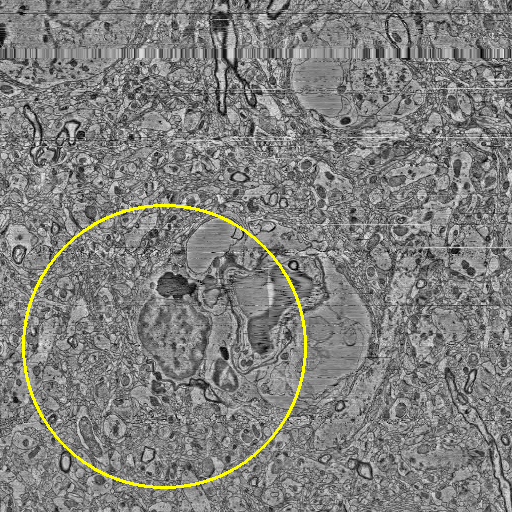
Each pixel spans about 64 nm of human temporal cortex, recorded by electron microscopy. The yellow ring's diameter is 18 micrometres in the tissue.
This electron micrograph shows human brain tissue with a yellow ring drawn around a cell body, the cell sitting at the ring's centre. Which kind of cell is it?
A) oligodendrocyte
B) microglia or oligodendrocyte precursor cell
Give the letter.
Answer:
A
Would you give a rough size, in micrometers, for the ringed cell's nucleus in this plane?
In this plane, roughly 6 by 4 micrometres.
